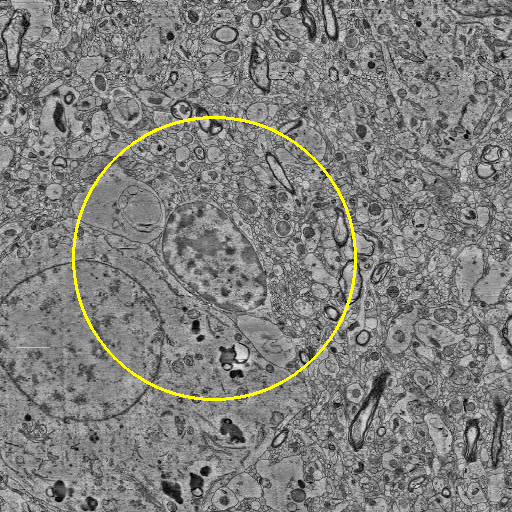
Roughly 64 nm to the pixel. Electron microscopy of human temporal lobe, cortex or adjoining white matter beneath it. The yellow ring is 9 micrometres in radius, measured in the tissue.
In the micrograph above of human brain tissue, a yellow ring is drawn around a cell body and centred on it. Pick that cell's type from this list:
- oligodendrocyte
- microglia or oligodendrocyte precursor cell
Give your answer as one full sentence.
Going by the list, a microglial cell or oligodendrocyte precursor cell is the cell on which the yellow ring is centred.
